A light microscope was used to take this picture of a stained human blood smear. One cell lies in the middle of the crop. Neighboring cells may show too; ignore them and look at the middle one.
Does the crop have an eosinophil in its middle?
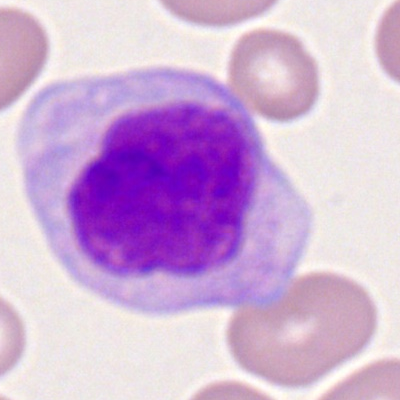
no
